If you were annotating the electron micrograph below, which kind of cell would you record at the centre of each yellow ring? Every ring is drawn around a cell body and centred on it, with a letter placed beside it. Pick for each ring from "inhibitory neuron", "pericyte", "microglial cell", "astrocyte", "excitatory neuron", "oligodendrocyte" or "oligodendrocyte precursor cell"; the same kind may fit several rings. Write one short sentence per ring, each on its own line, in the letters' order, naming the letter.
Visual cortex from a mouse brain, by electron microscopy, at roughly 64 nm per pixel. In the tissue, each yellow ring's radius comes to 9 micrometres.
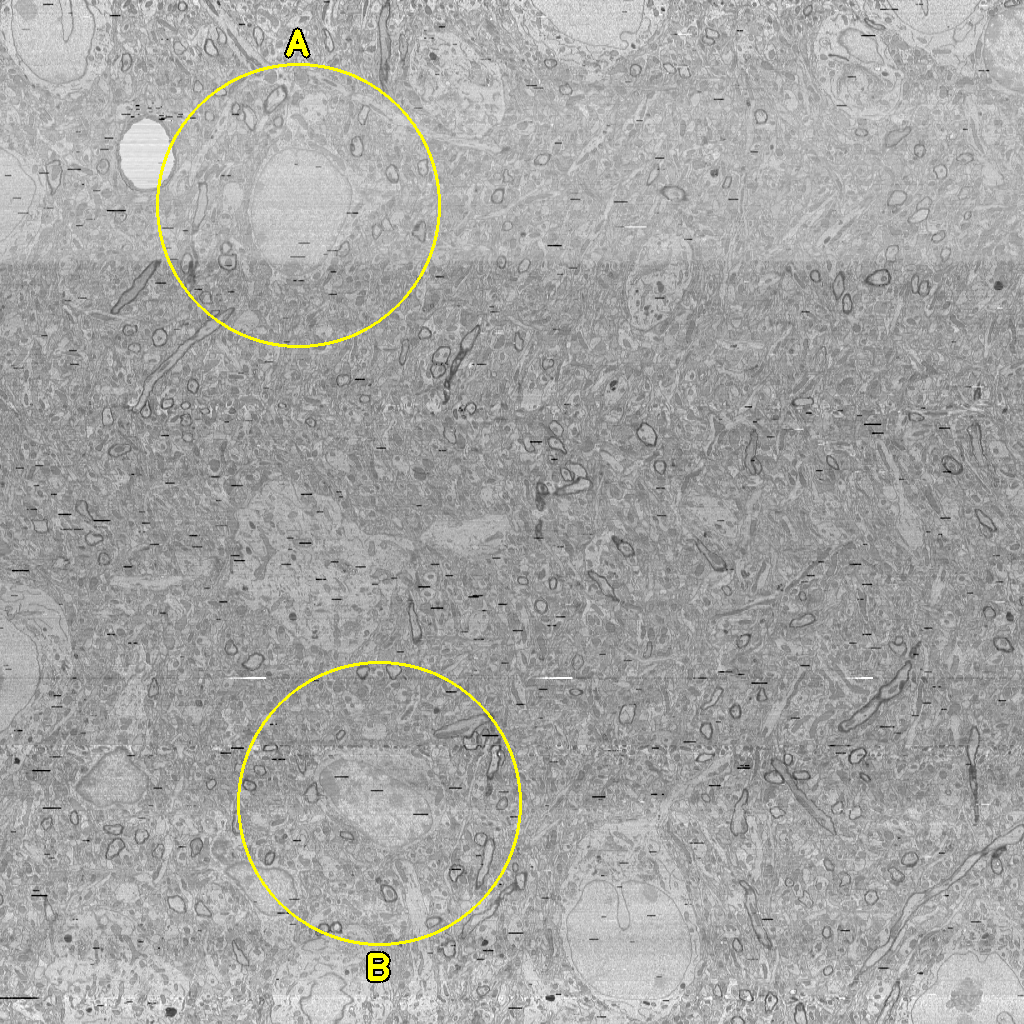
For ring A, I would record an astrocyte.
For ring B, I would record an oligodendrocyte.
